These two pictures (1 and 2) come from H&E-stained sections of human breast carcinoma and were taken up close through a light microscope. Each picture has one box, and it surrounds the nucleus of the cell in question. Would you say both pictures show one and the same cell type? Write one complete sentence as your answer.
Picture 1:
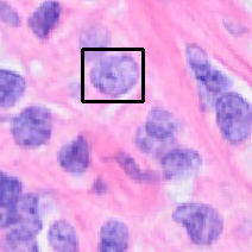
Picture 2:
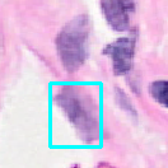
No. Picture 1 shows a carcinoma cell, but picture 2 shows an endothelial cell.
